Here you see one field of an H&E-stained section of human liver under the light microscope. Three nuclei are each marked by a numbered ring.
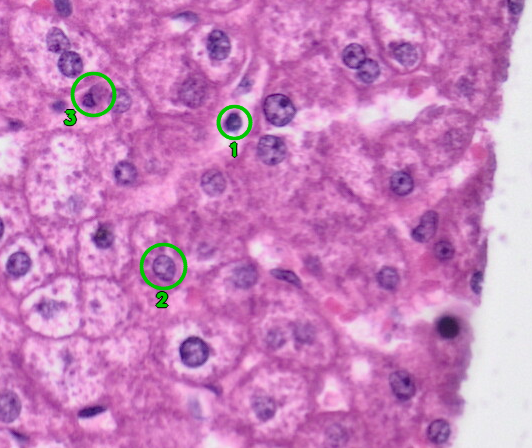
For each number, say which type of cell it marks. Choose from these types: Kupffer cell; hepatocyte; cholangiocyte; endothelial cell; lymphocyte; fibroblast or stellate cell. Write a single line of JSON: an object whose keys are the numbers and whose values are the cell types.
{"1": "lymphocyte", "2": "hepatocyte", "3": "Kupffer cell"}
